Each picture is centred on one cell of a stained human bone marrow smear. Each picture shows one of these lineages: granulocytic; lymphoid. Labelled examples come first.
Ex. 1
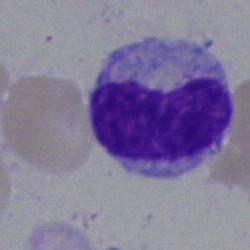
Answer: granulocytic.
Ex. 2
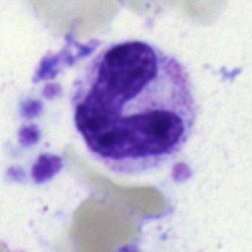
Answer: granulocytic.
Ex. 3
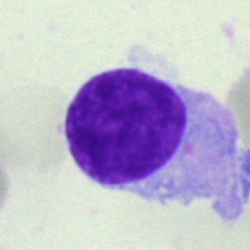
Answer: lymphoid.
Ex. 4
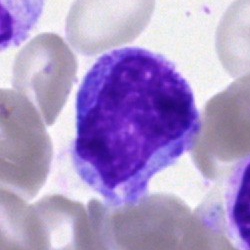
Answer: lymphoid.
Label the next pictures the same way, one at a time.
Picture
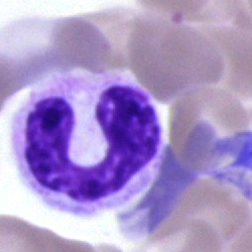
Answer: granulocytic.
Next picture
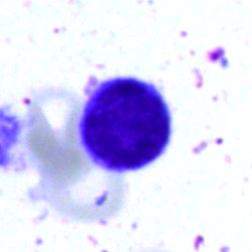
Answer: lymphoid.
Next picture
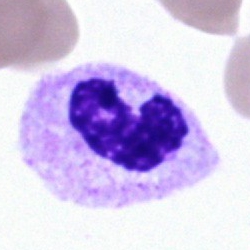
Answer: granulocytic.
